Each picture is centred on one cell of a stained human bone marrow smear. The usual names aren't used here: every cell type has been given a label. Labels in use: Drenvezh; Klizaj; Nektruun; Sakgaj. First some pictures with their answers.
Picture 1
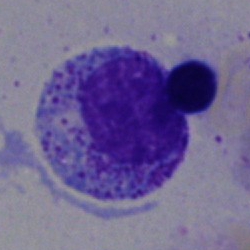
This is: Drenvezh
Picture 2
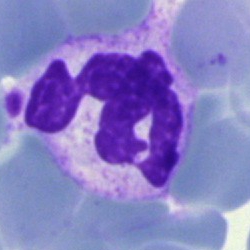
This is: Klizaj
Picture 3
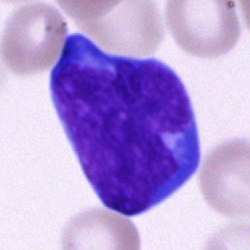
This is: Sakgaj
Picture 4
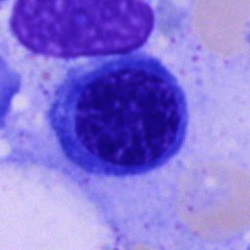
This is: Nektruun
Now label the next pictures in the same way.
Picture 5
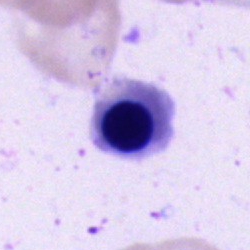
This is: Nektruun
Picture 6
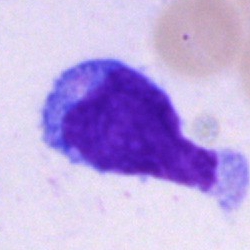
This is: Sakgaj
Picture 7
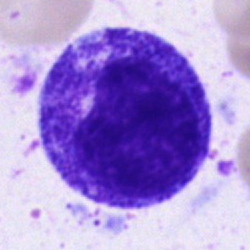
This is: Drenvezh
